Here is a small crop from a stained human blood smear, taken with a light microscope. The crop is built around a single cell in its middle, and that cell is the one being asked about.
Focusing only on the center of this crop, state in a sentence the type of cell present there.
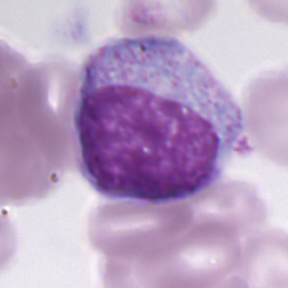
The cell centred in this crop is categorized as a promyelocyte.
